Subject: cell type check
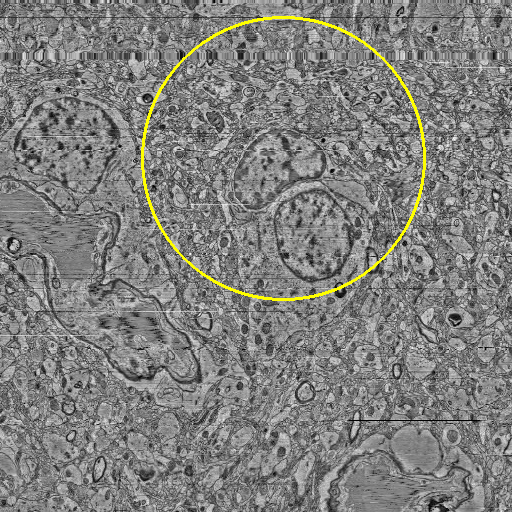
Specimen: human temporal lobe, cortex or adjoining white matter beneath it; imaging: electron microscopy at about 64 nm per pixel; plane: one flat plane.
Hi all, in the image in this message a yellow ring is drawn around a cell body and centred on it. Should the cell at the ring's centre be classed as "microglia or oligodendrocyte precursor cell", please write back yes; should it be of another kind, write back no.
yes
